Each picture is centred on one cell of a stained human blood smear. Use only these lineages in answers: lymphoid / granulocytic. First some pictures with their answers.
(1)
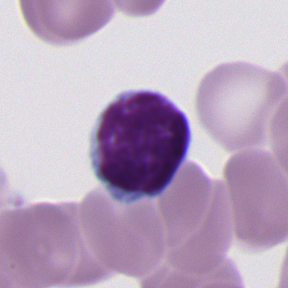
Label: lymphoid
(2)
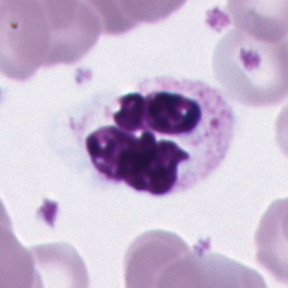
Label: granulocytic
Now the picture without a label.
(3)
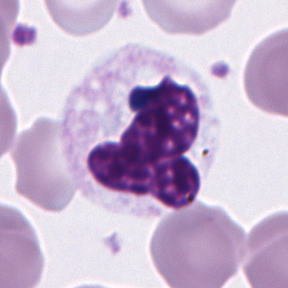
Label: granulocytic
